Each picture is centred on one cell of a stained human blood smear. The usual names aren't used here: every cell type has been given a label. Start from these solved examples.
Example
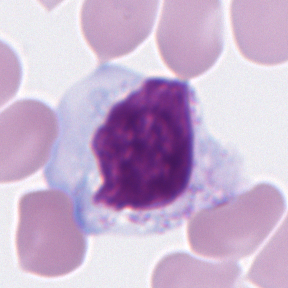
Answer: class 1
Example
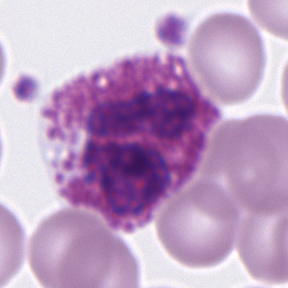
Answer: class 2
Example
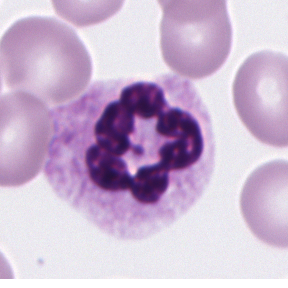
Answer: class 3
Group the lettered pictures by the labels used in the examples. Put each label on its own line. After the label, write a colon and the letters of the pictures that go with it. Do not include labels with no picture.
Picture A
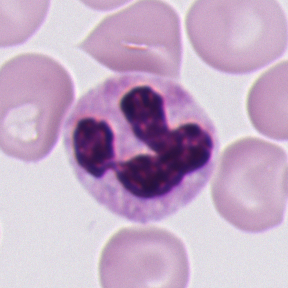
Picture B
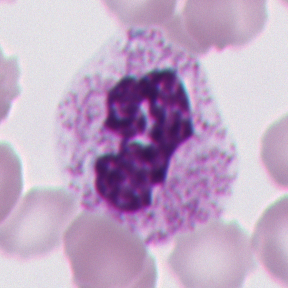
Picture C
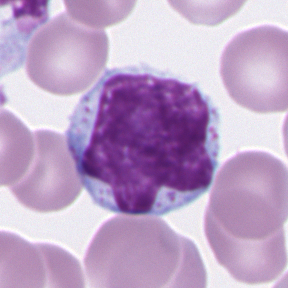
class 1: C
class 3: A, B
